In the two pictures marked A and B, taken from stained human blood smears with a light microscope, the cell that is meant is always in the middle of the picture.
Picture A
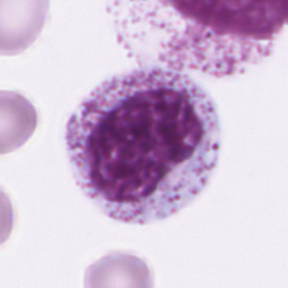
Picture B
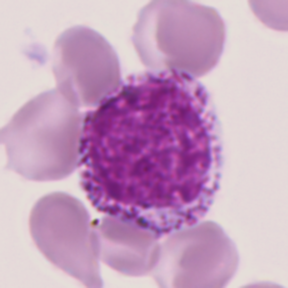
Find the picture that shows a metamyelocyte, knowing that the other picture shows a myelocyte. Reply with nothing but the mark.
A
